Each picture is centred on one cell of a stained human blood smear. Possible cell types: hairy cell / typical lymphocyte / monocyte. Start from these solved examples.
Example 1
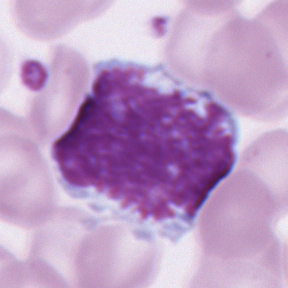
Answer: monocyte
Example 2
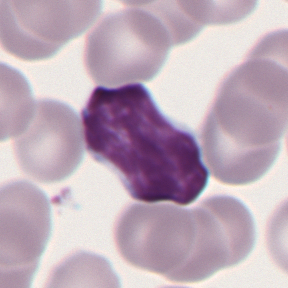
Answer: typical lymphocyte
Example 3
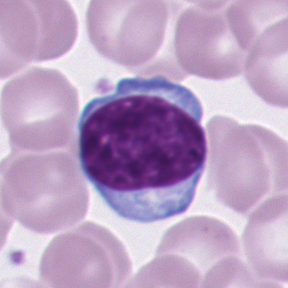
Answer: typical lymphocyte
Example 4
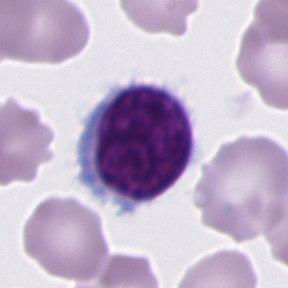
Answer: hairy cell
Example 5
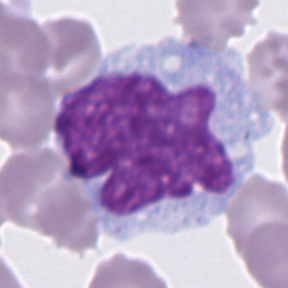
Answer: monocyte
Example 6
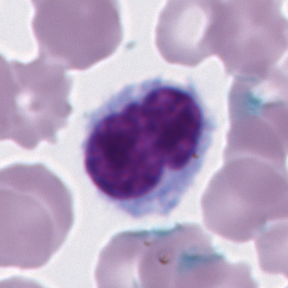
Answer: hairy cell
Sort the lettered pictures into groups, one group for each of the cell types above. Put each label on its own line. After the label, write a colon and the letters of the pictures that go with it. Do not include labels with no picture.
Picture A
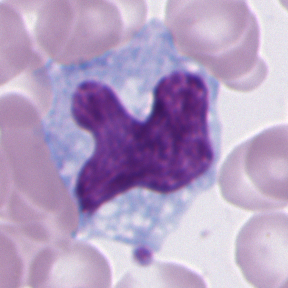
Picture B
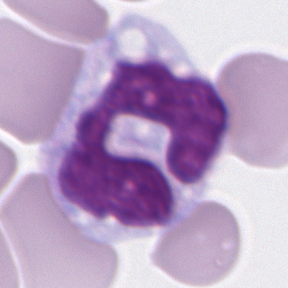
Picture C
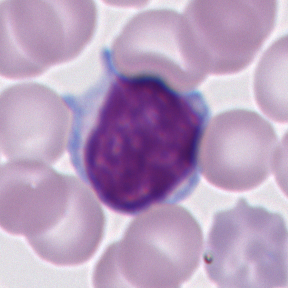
typical lymphocyte: C
monocyte: A, B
